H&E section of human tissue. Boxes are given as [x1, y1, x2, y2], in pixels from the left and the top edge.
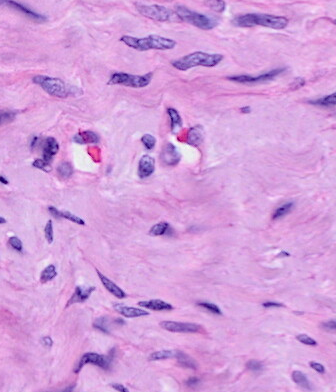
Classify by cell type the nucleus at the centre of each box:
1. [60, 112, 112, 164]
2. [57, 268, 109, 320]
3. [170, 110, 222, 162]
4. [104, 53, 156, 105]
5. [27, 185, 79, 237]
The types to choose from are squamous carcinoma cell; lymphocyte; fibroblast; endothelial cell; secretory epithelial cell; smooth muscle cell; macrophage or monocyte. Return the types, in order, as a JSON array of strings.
["endothelial cell", "fibroblast", "endothelial cell", "fibroblast", "fibroblast"]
